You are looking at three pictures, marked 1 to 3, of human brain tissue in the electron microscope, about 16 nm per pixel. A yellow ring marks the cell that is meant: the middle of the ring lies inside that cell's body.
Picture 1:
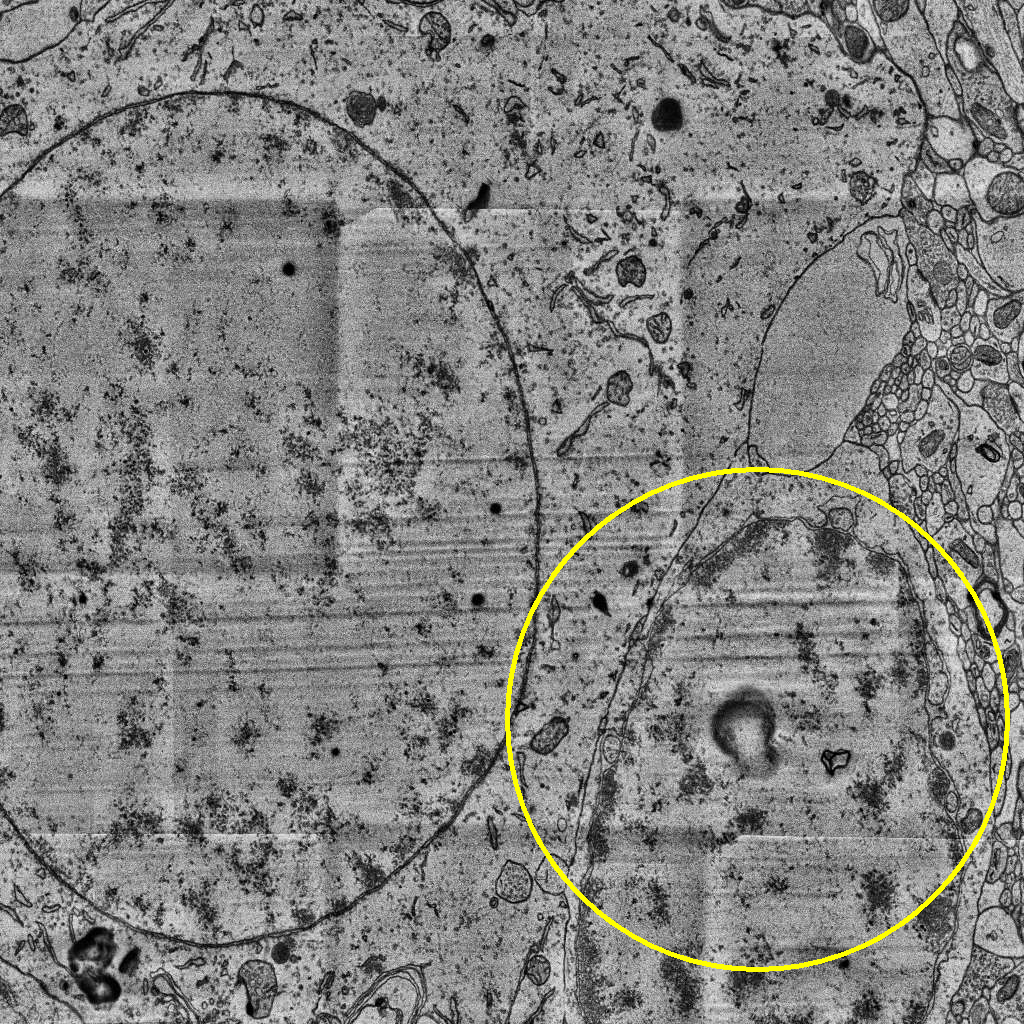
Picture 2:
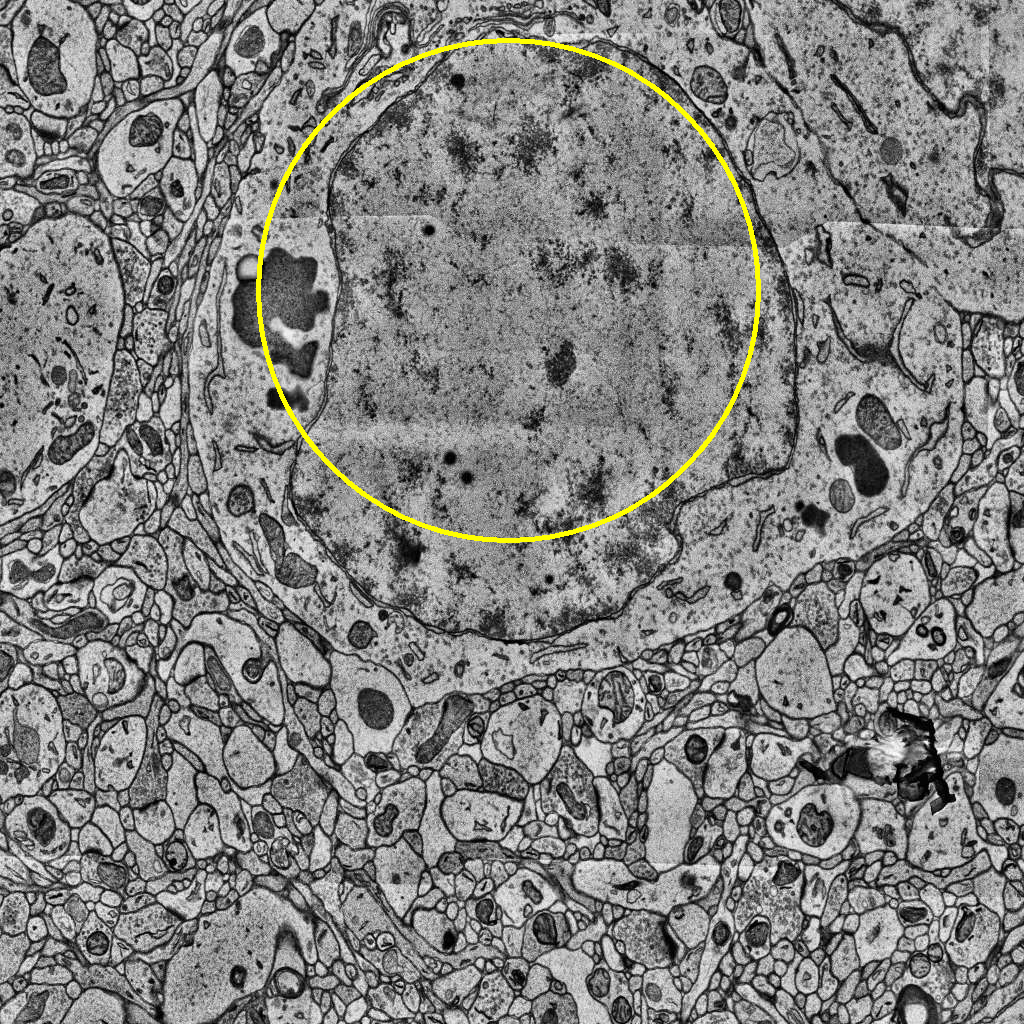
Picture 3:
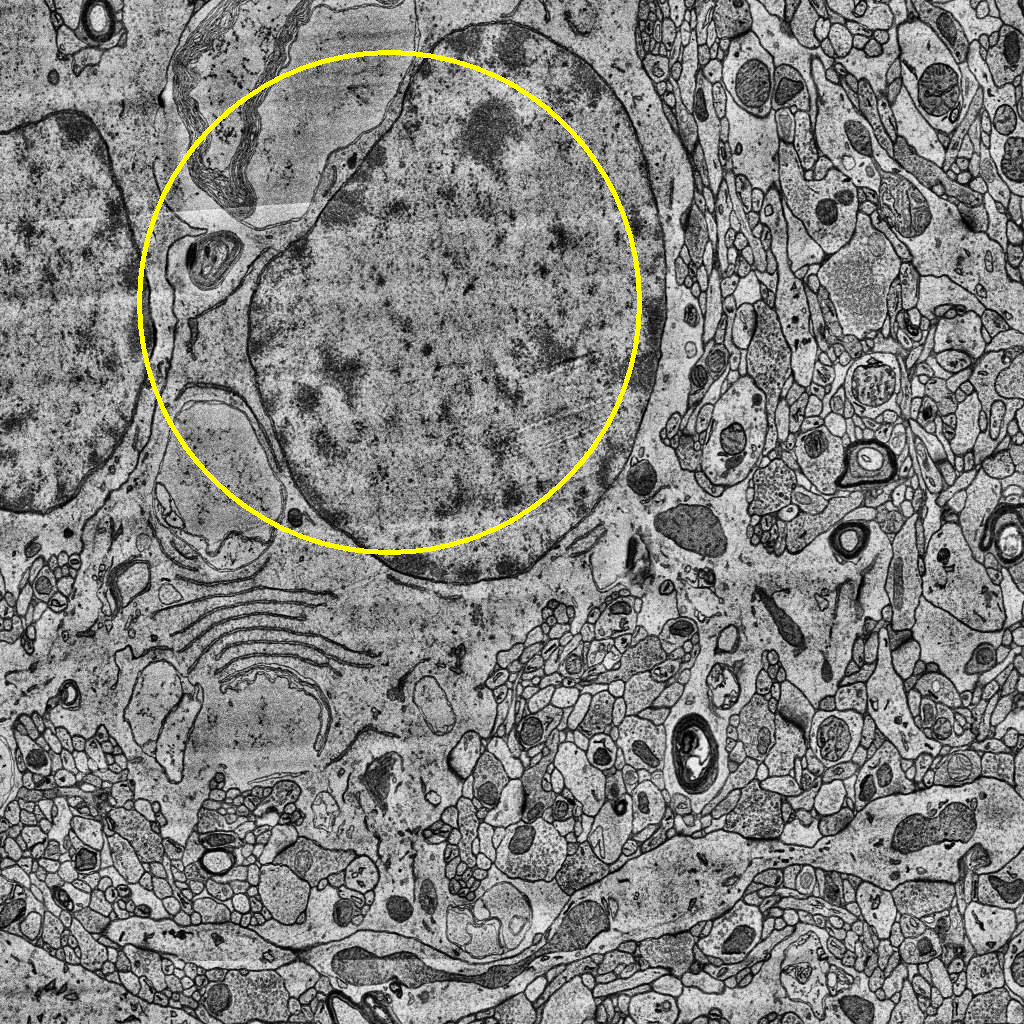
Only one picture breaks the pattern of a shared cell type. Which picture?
The different one is picture 3; it shows an astrocyte, whereas all the others show interneurons.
